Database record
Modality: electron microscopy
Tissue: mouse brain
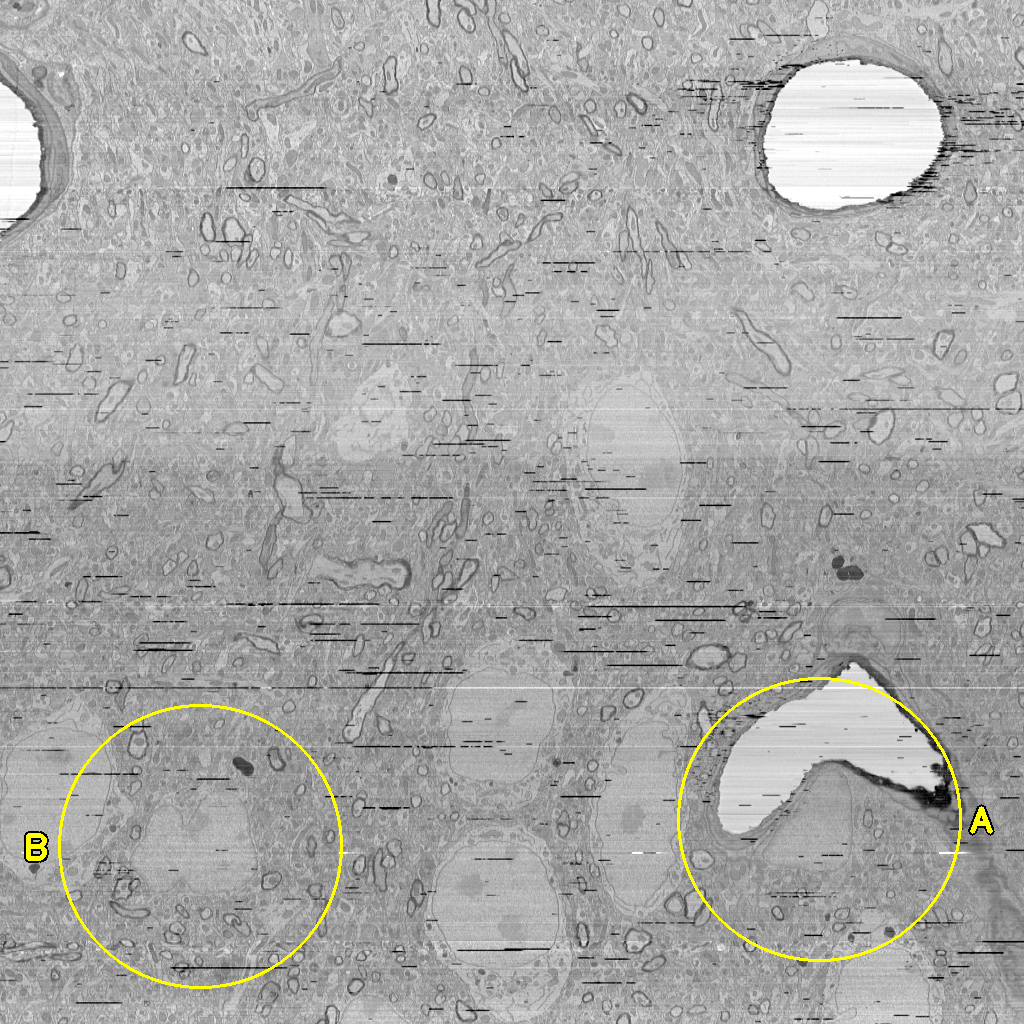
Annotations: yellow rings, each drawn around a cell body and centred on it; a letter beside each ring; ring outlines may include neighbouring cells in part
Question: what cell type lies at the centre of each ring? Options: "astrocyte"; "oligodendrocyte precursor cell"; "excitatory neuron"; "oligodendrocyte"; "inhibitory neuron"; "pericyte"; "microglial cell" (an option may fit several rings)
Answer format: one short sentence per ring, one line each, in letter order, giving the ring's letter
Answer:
Ring A corresponds to an astrocyte.
Ring B corresponds to an astrocyte.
